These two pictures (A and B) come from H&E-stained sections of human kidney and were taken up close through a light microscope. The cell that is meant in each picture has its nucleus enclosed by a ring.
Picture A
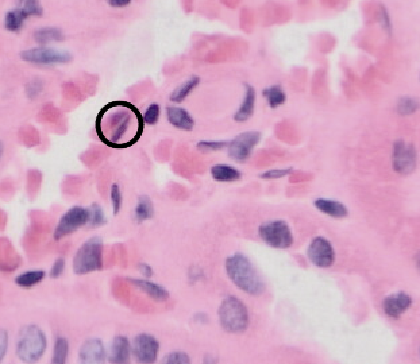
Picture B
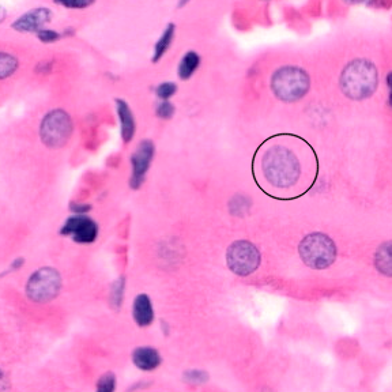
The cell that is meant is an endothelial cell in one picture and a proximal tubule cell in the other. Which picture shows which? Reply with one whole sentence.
Picture A shows an endothelial cell and picture B shows a proximal tubule cell.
